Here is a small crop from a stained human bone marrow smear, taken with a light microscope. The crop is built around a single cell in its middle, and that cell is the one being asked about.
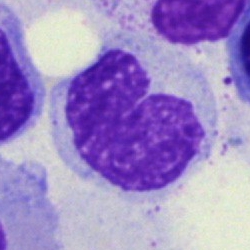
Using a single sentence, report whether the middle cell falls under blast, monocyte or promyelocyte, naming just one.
The cell at the centre of the field is a monocyte.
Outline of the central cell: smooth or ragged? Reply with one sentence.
From every side, the cell boundary is smooth and free of projections.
